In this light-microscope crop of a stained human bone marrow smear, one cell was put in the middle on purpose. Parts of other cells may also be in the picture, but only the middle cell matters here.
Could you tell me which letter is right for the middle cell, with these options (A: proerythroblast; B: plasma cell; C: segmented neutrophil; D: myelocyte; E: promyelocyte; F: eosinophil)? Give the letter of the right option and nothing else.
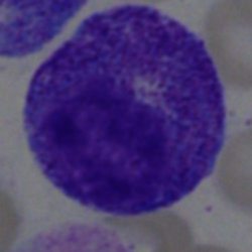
E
